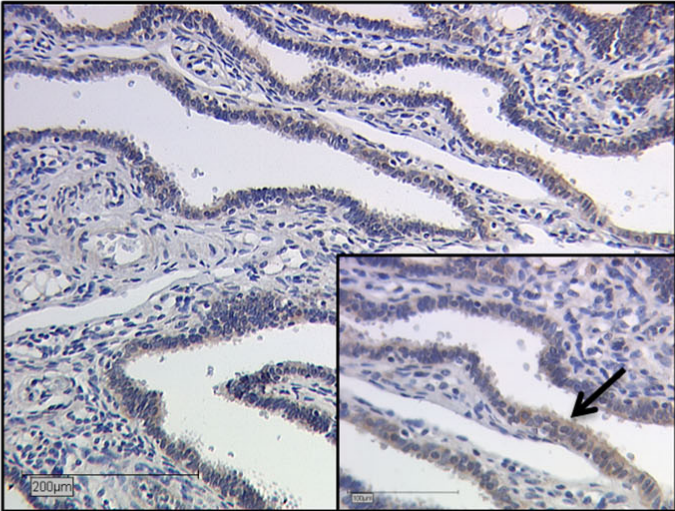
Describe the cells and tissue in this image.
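This is fallopian tube mucosa, with branching folds covered by a single layer of columnar epithelial cells that face open lumina. The epithelial cells have oval nuclei stained blue and cytoplasm that carries a light brown stain, most evident toward the luminal surface. Beneath the epithelium lie cores of stroma made of spindle and oval cells with blue nuclei and little or no brown colour. Small vessels are seen within the stromal cores. The inset enlarges one fold, where the brown-tinged epithelial lining is clearly set apart from the pale blue stroma beneath.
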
